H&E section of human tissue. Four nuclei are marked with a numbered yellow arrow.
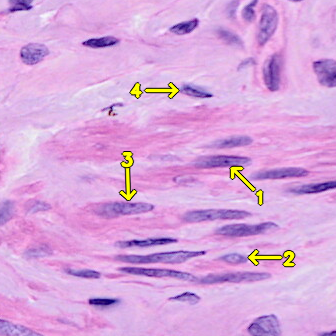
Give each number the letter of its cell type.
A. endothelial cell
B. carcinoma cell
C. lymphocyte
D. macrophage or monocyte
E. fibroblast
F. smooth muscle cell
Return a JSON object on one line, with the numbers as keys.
{"1": "F", "2": "F", "3": "F", "4": "E"}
